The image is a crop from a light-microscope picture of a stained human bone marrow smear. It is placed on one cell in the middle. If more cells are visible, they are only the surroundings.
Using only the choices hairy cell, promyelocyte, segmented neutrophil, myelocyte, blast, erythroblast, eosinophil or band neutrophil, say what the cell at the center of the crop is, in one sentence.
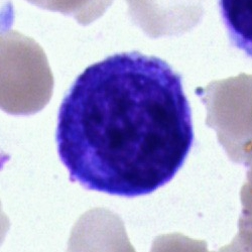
The cell centred in this crop is categorized as a promyelocyte.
